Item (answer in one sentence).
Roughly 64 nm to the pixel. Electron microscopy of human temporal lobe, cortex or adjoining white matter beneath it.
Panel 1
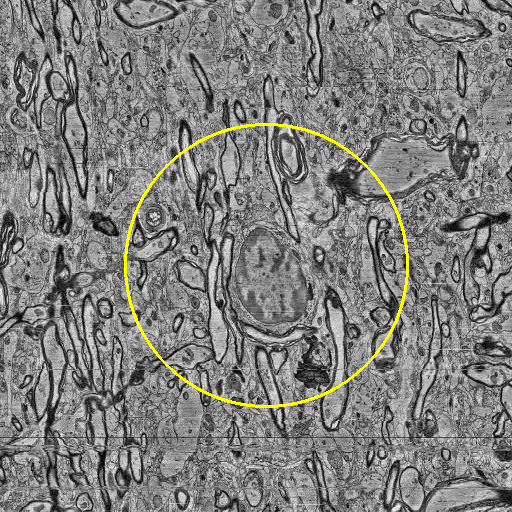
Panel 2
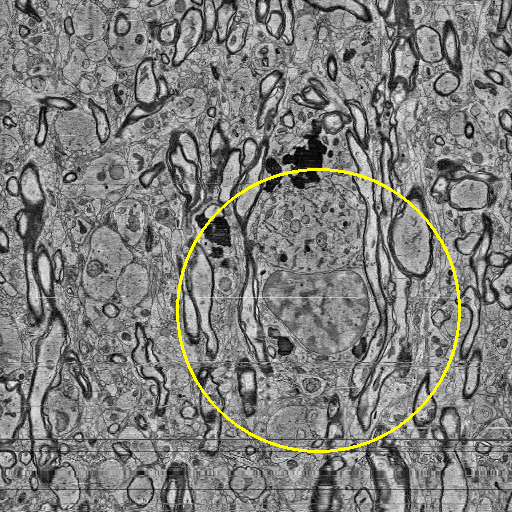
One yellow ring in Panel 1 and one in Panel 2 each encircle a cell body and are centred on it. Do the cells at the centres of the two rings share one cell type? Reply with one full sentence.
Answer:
Yes, Panel 1 and Panel 2 show cells of one type at the centres of their rings.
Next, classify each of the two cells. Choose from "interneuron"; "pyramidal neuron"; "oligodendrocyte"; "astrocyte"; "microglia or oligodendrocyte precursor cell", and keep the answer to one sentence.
Each cell, in the first picture and the second, is a microglial cell or oligodendrocyte precursor cell.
